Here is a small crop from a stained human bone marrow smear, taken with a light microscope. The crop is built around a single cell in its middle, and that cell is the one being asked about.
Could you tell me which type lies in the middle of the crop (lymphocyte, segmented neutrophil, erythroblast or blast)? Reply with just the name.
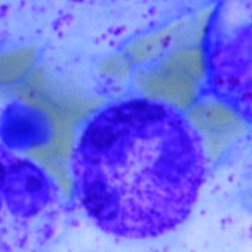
segmented neutrophil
